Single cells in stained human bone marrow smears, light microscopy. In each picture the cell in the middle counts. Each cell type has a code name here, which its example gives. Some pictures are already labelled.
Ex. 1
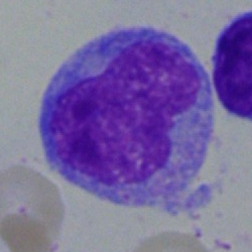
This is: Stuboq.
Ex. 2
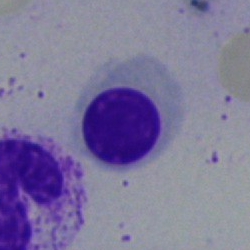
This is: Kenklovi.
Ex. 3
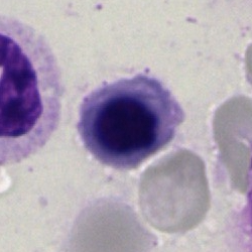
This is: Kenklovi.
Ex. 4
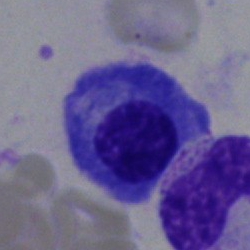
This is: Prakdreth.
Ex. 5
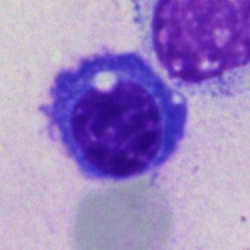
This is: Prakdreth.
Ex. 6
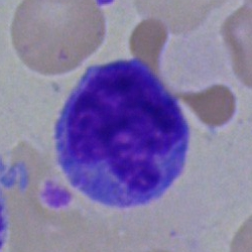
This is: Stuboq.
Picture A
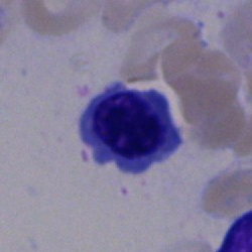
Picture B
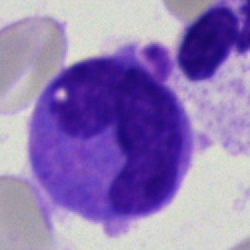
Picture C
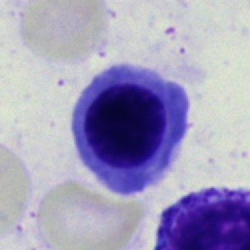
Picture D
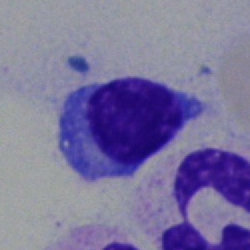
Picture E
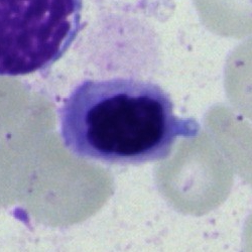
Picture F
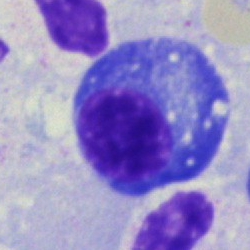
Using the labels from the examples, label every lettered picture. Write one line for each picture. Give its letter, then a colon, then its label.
A: Kenklovi.
B: Stuboq.
C: Kenklovi.
D: Prakdreth.
E: Kenklovi.
F: Prakdreth.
